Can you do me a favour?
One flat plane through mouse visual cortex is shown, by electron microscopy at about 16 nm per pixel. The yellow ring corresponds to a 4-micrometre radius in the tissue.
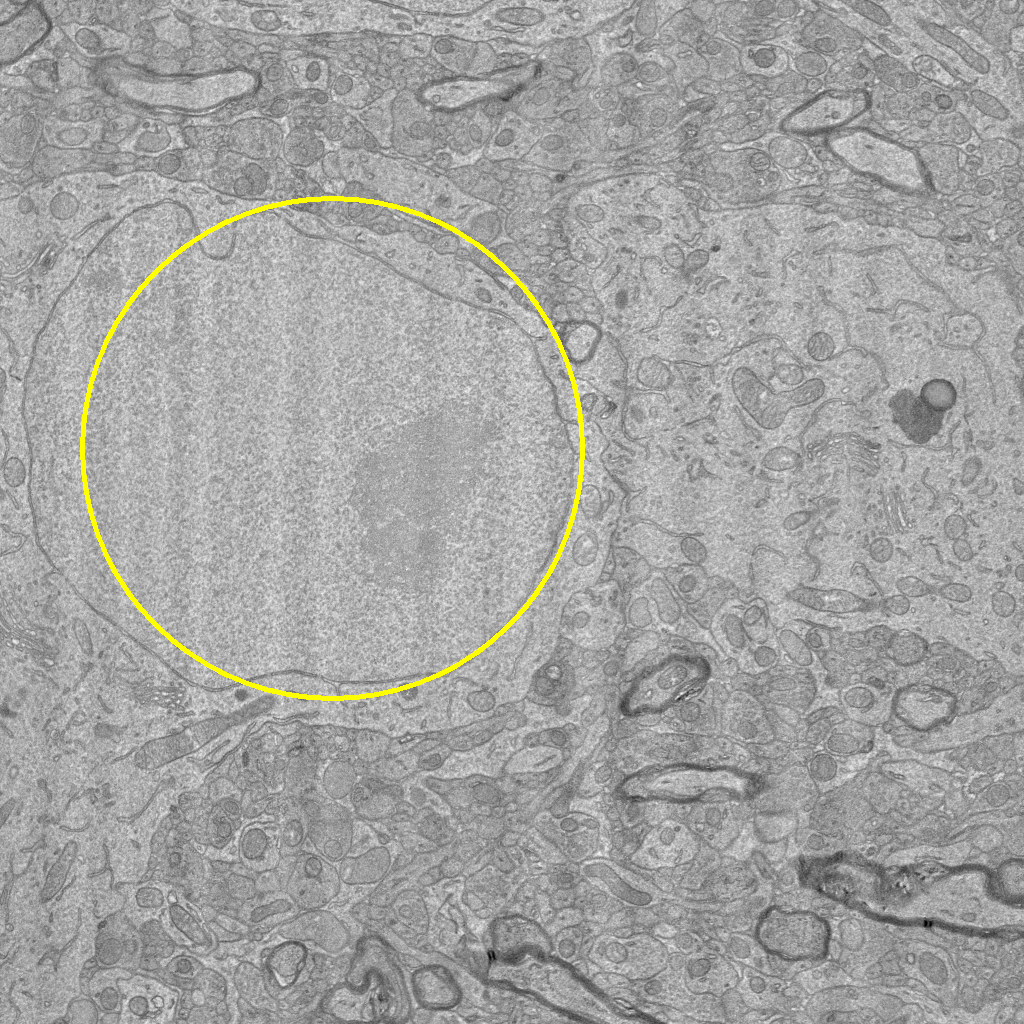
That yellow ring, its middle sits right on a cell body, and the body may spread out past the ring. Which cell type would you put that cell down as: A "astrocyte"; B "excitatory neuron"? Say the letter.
B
